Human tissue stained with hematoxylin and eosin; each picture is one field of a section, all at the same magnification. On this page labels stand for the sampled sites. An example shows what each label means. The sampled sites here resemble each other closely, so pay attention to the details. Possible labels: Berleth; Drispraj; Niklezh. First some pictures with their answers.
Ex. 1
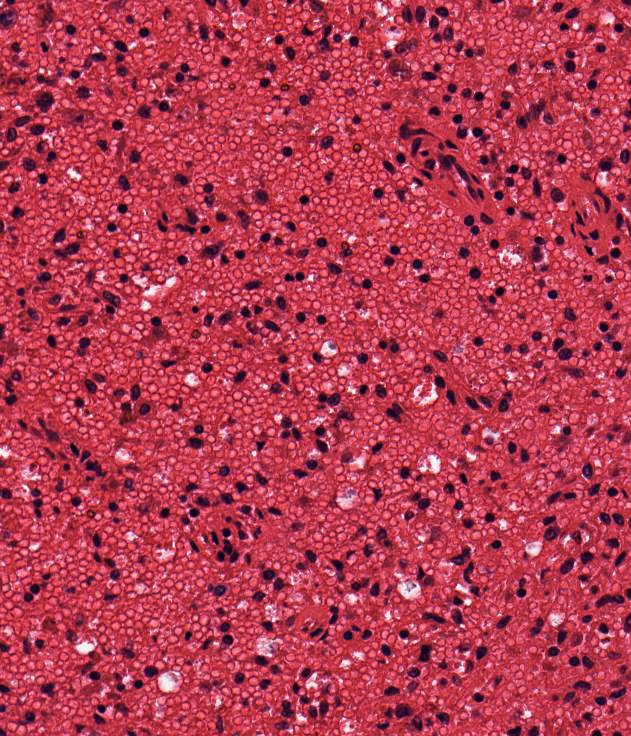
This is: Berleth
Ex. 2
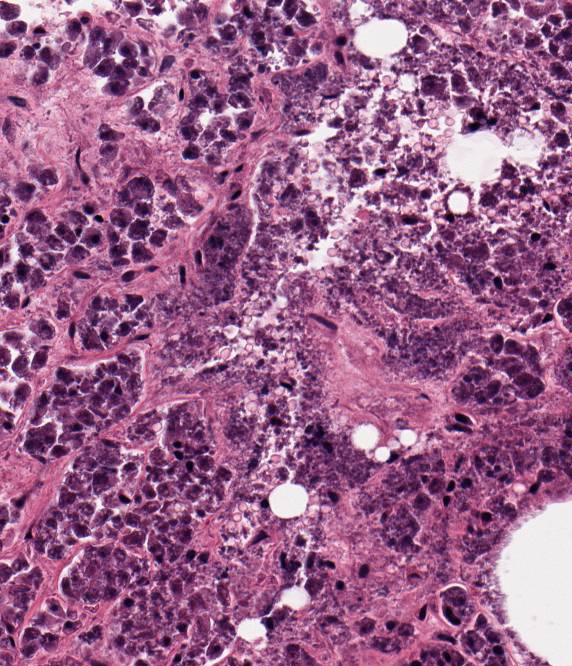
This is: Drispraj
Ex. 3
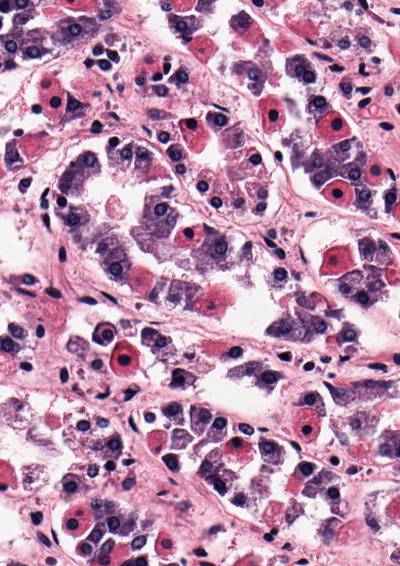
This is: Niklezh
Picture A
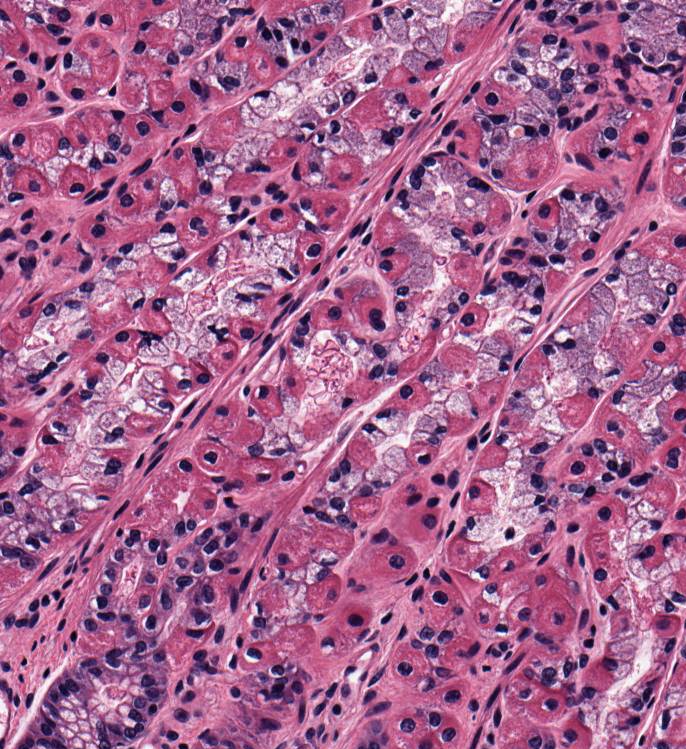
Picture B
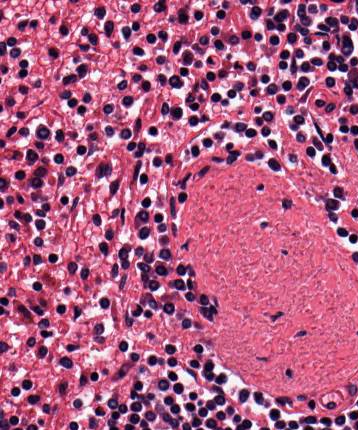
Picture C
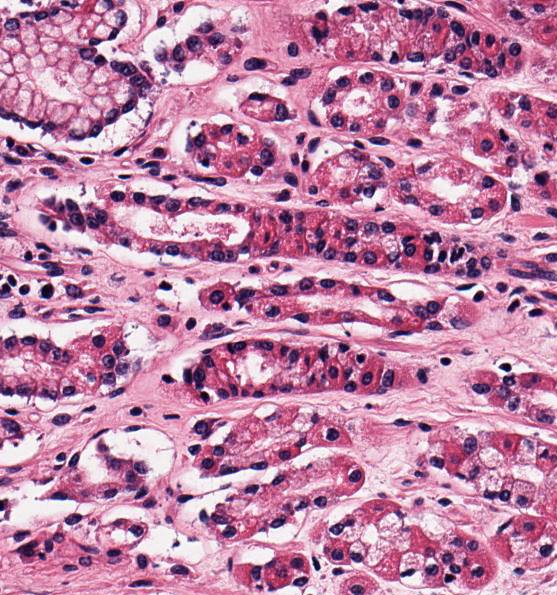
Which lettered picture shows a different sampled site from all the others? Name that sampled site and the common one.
Exception: B, showing Berleth. Remaining pictures: Niklezh.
